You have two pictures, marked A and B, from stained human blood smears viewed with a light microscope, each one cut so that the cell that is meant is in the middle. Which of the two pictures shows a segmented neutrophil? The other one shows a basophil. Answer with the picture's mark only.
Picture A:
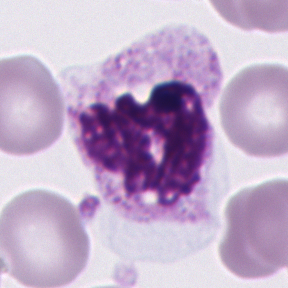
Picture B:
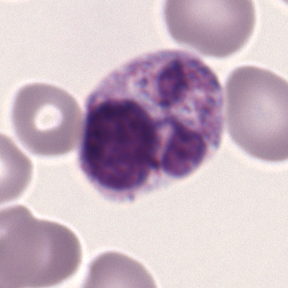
A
